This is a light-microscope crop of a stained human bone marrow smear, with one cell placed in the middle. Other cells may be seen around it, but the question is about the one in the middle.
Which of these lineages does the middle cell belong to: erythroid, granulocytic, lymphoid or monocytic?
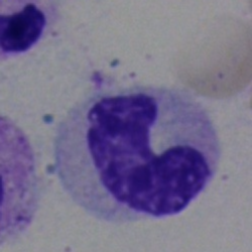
granulocytic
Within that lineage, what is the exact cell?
band neutrophil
